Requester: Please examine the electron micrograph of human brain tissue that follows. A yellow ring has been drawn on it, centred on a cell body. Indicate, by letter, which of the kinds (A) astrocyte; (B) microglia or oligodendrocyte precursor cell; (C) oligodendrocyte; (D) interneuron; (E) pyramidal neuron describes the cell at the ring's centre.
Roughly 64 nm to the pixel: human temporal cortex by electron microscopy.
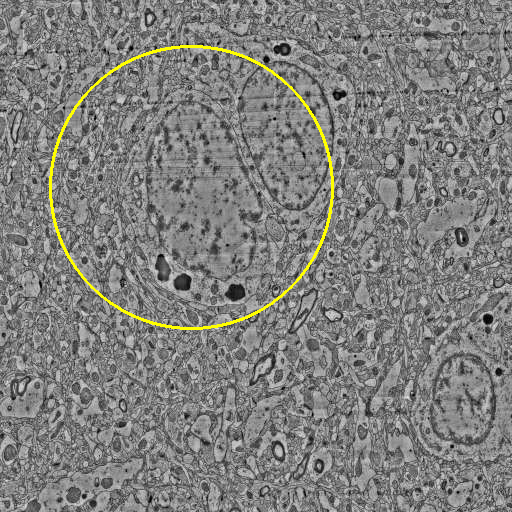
D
